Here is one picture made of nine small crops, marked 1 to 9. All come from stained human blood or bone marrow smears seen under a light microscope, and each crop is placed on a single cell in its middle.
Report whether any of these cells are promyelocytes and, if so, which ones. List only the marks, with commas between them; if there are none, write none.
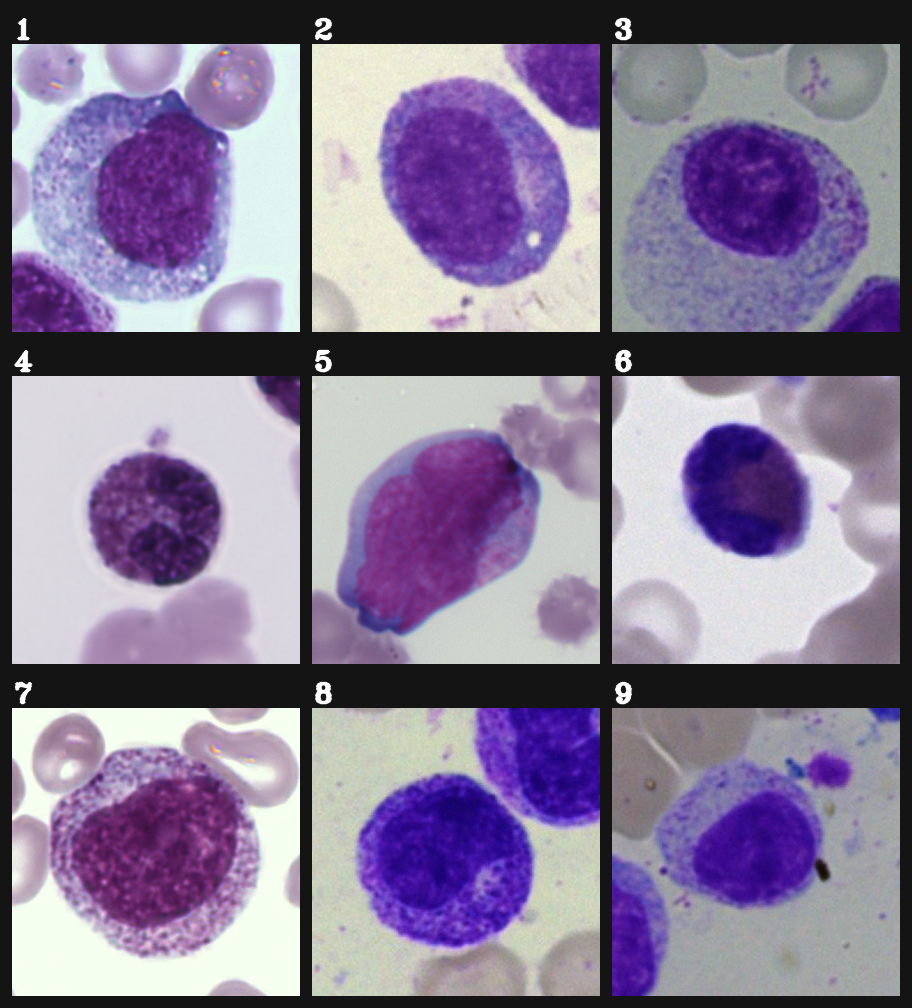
1, 2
